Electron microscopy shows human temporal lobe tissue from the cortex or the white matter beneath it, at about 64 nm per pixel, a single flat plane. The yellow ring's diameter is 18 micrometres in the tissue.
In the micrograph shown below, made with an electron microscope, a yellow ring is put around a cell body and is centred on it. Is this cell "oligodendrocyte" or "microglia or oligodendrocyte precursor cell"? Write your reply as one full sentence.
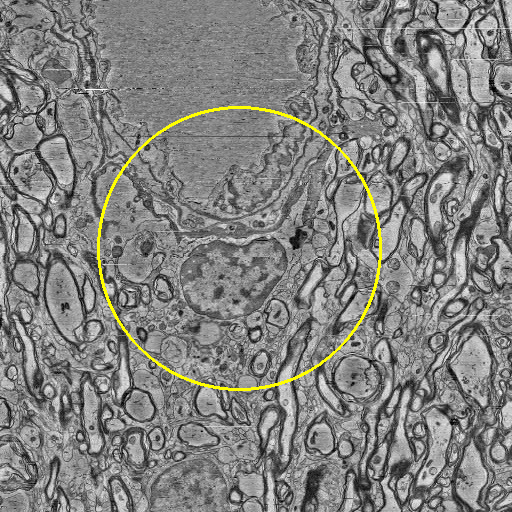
In the micrograph, a microglial cell or oligodendrocyte precursor cell is the cell at the centre of the yellow ring.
